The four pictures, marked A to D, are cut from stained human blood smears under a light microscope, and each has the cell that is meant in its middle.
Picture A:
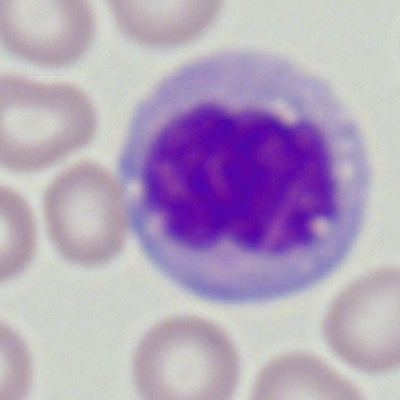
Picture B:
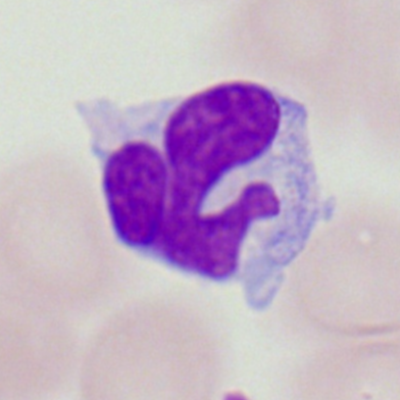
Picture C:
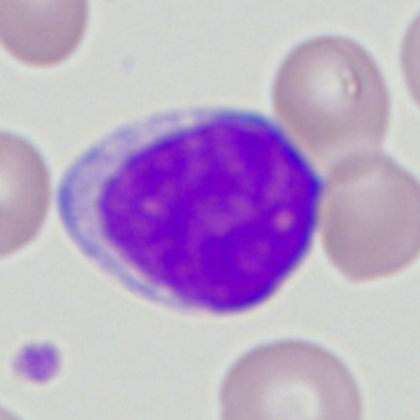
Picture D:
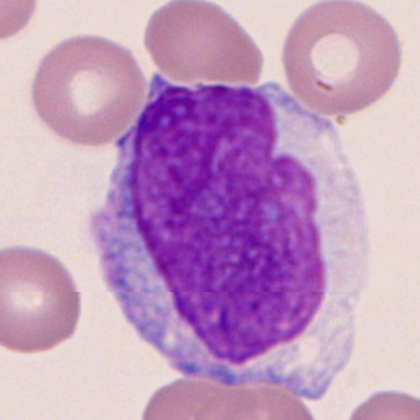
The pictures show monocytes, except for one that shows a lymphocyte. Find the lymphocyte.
C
